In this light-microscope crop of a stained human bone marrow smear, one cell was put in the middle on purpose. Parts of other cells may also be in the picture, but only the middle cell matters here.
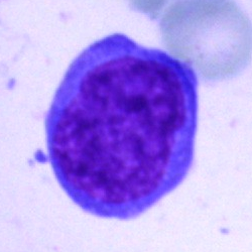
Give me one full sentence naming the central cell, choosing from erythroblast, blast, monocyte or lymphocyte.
Located at the centre of the crop is a blast.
